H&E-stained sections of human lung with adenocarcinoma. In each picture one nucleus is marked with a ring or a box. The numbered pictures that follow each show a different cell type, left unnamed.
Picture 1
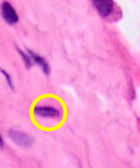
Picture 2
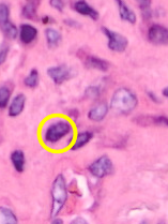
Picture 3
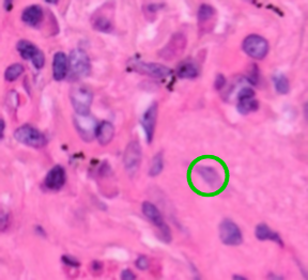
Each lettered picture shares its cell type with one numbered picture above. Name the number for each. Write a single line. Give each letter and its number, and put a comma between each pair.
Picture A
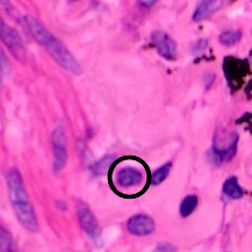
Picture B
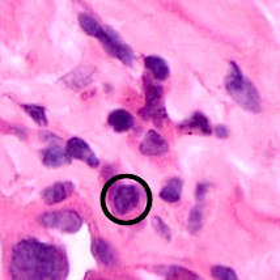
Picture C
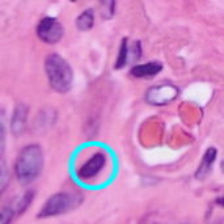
A 1, B 2, C 2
